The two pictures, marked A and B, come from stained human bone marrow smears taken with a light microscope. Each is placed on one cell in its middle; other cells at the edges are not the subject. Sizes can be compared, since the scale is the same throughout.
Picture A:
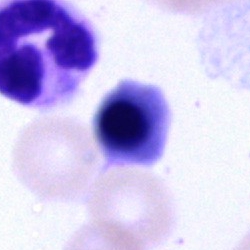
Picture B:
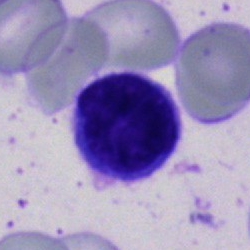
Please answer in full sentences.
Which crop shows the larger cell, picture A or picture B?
The cell in picture B is larger, with about 2 times the area of the one in picture A.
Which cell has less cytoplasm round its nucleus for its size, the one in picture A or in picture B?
The nucleus fills more of the cell in picture B than in picture A.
